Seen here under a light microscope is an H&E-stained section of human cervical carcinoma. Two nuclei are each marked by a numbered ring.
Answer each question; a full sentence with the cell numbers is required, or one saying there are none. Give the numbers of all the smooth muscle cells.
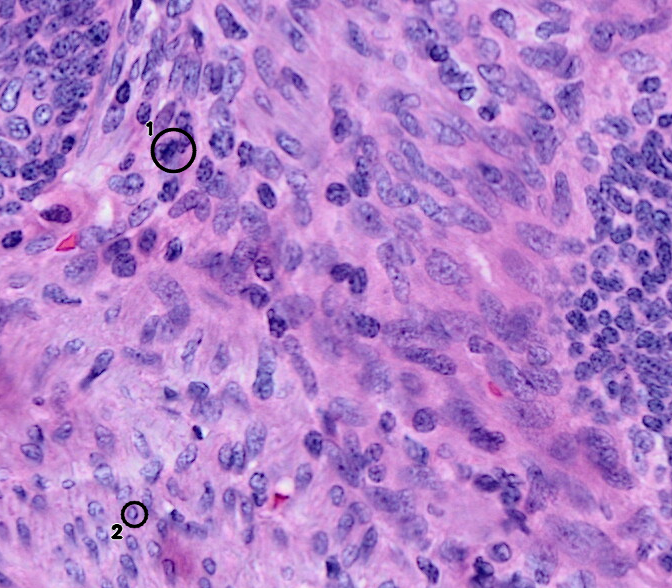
As for the numbered cells, only cell 2 is a smooth muscle cell.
